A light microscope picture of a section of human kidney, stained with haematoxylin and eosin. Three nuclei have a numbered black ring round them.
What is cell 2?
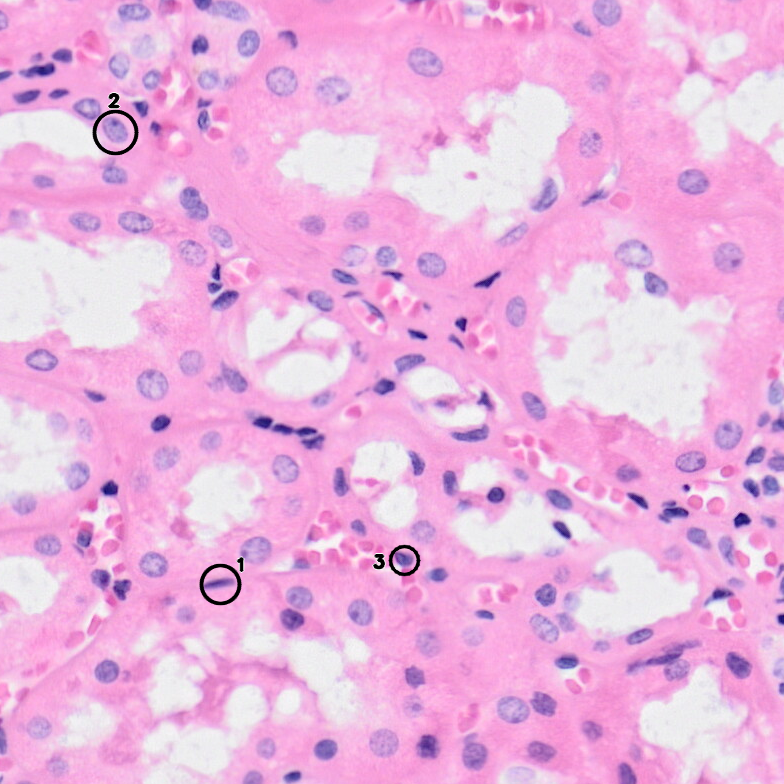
collecting duct cell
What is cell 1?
endothelial cell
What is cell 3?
endothelial cell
